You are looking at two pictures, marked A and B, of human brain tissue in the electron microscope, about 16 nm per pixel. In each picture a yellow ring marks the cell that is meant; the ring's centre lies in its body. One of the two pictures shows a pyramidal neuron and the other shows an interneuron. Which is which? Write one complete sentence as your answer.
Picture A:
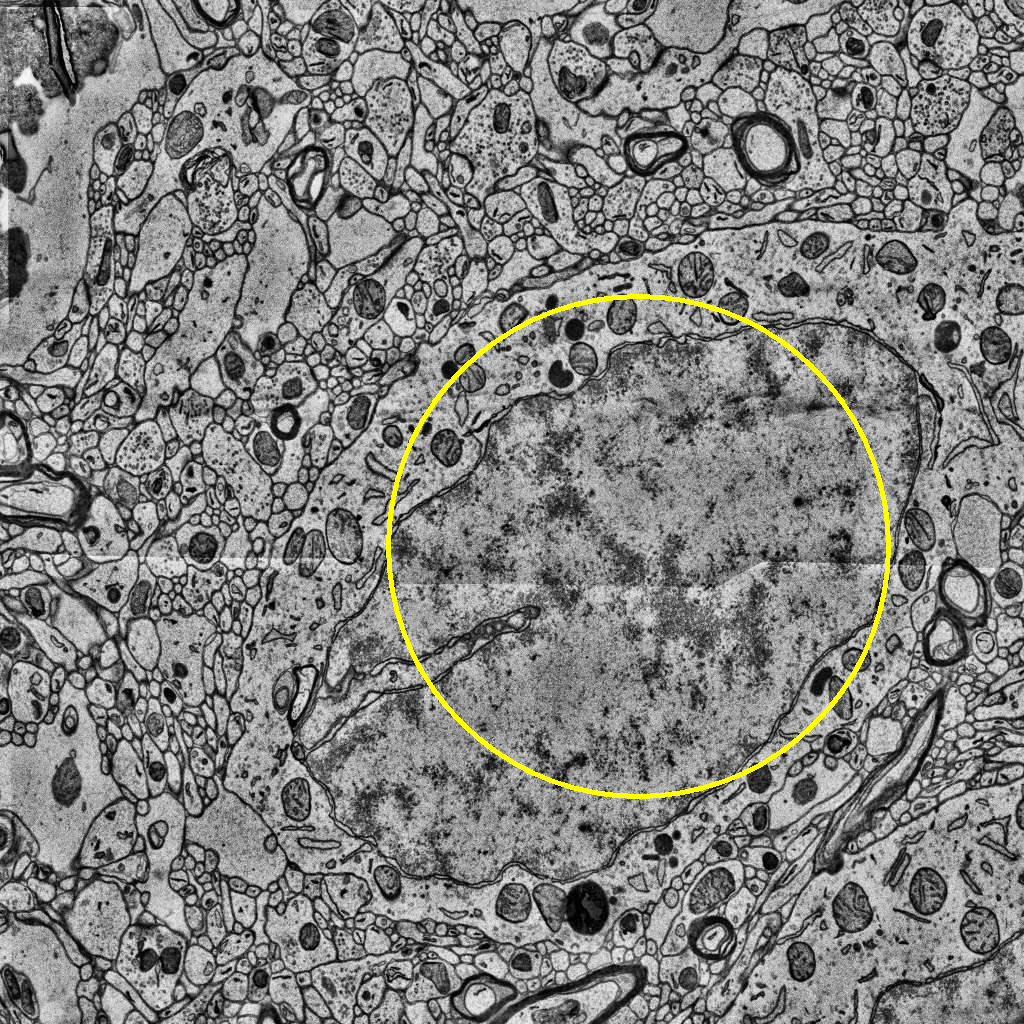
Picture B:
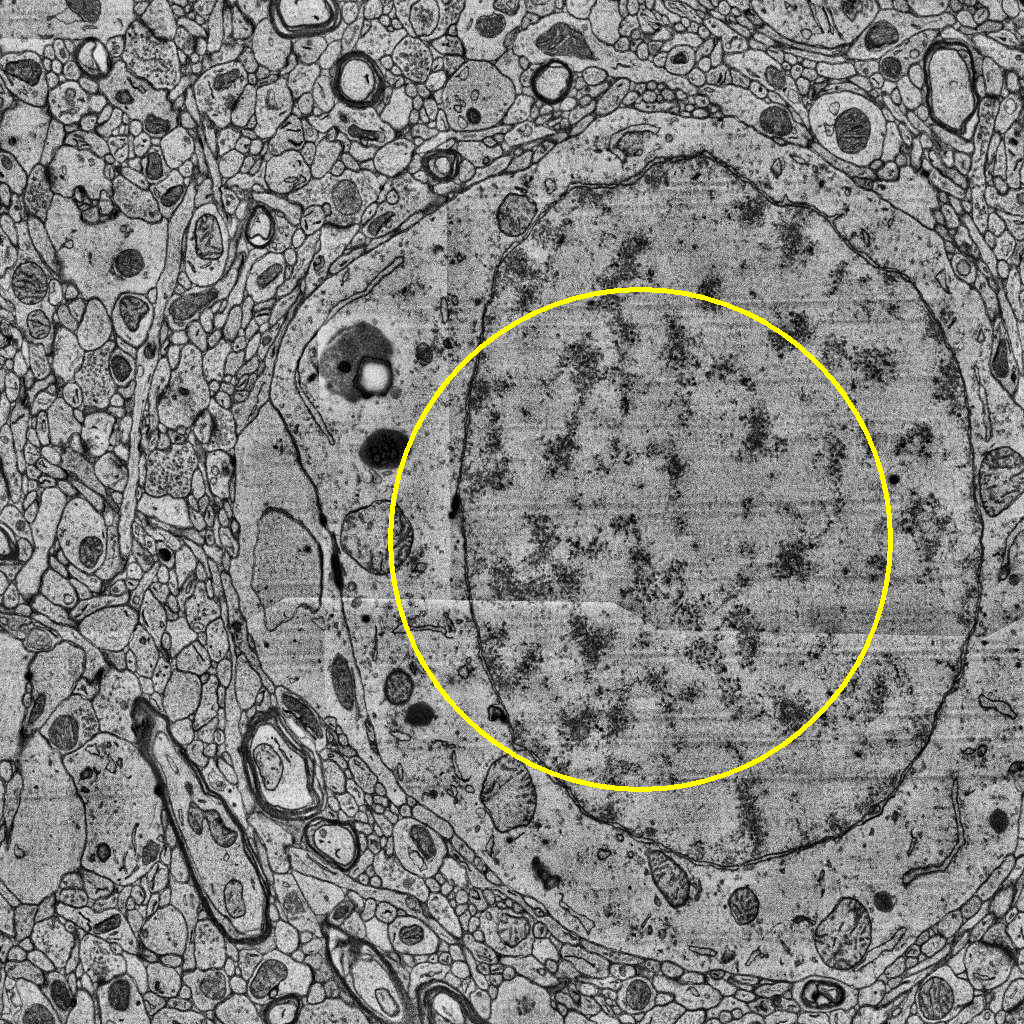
Picture B shows a pyramidal neuron, while picture A shows an interneuron.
